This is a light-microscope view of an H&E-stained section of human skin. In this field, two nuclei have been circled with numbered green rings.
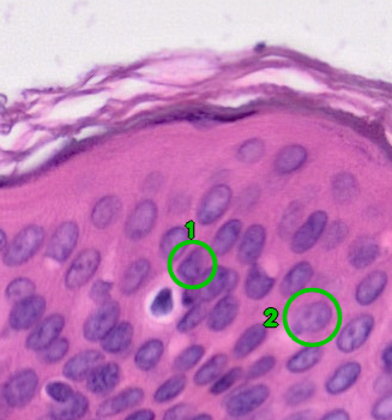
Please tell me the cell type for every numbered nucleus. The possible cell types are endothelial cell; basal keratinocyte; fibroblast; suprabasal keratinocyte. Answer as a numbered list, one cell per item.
1. basal keratinocyte
2. suprabasal keratinocyte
